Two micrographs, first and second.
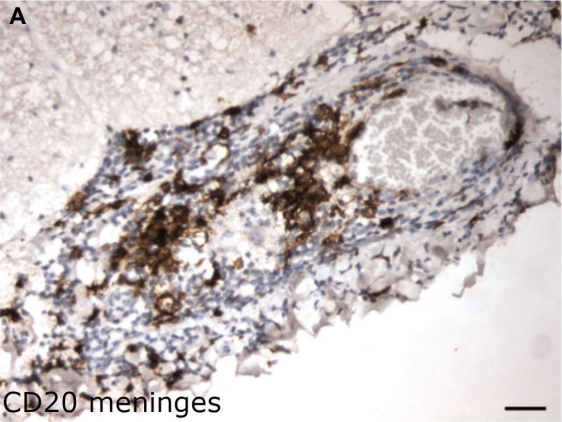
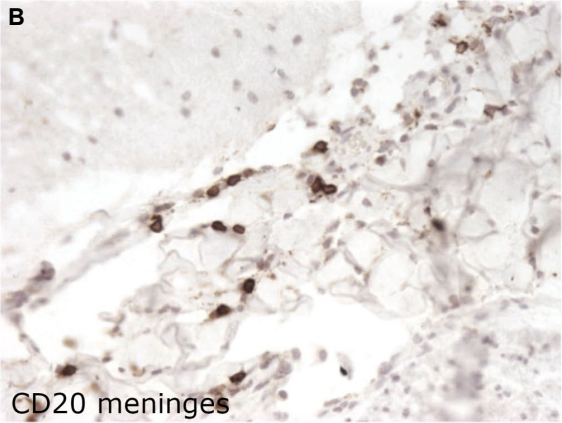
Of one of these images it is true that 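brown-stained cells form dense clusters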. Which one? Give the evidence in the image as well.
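Second image: brown cells are scattered singly through loose tissue. First image: brown cells gather in dense clumps within a crowded cellular tissue.
Conclusion: the first image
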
